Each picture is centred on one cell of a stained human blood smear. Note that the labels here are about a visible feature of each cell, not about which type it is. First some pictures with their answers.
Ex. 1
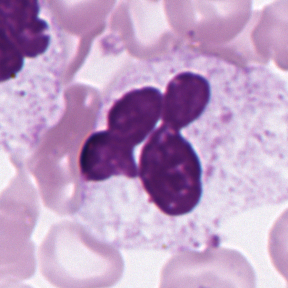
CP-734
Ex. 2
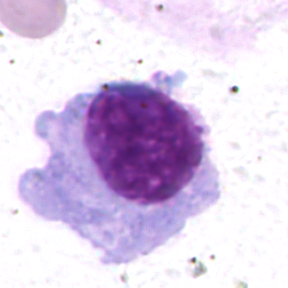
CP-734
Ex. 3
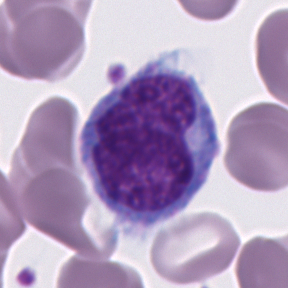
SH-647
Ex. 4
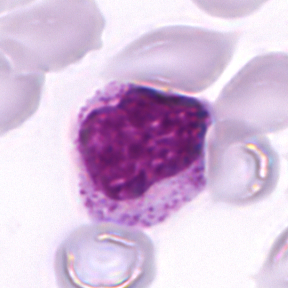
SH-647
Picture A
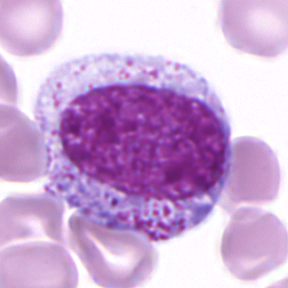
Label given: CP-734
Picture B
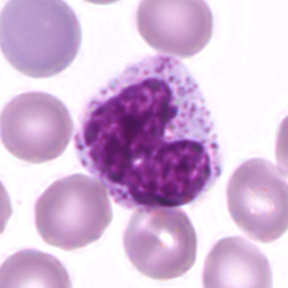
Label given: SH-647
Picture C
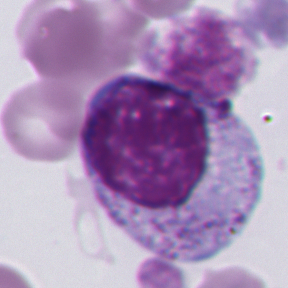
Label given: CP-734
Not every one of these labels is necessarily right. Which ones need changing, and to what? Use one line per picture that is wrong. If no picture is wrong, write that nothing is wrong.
Wrong: A (CP-734); correct: SH-647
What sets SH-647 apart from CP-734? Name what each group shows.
SH-647: scant cytoplasm; CP-734: abundant cytoplasm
